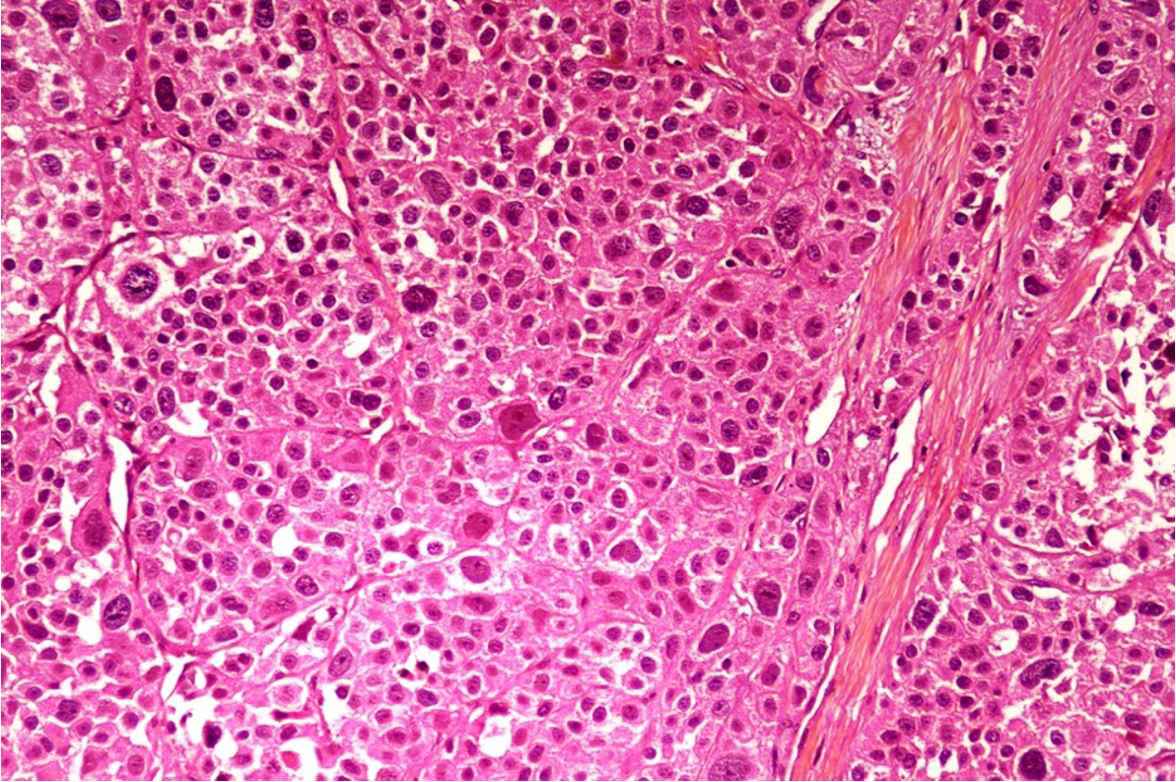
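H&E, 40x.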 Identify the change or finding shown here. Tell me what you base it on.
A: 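Nuclei vary greatly in size from cell to cell. Nuclei are round to oval, some much larger and darker than their neighbours. The answer: markedly pleomorphic round to oval nuclei.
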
